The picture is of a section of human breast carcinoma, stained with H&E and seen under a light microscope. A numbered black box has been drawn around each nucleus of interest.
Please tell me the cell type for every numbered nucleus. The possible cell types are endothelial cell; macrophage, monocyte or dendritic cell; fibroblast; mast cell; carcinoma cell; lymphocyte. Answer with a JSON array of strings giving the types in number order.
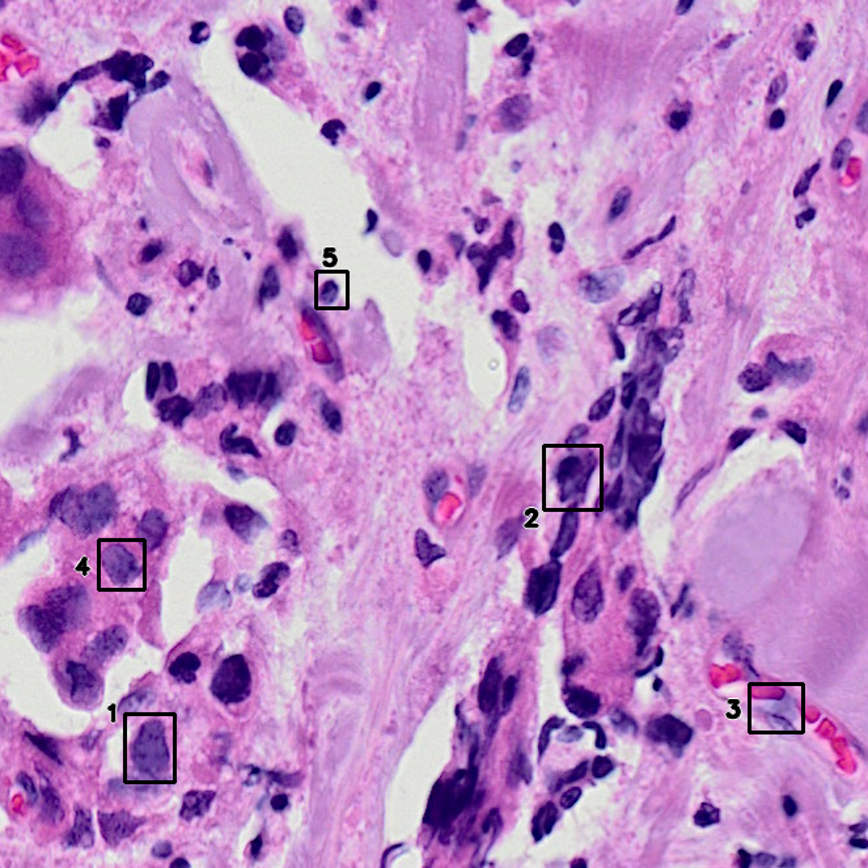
["carcinoma cell", "carcinoma cell", "endothelial cell", "carcinoma cell", "lymphocyte"]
